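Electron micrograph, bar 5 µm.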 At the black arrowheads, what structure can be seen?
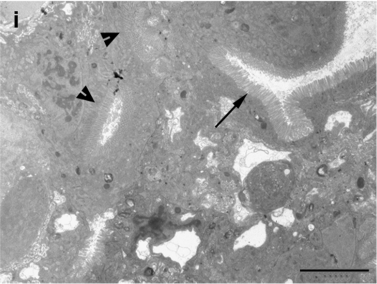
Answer: Multiple lumens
